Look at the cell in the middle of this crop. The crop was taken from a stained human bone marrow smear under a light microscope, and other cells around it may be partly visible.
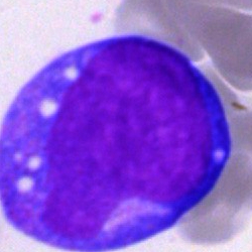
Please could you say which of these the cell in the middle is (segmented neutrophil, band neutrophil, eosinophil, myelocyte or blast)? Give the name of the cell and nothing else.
blast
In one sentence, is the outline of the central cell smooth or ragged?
Nothing juts out from the margin, which is smooth throughout.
